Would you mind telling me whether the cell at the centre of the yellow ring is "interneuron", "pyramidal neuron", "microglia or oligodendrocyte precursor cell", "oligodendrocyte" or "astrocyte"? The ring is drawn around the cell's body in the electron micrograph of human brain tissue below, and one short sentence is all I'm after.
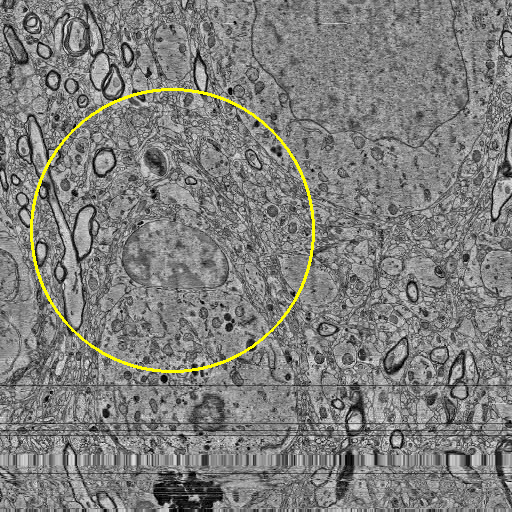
In the centre of the ring lies a microglial cell or oligodendrocyte precursor cell.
